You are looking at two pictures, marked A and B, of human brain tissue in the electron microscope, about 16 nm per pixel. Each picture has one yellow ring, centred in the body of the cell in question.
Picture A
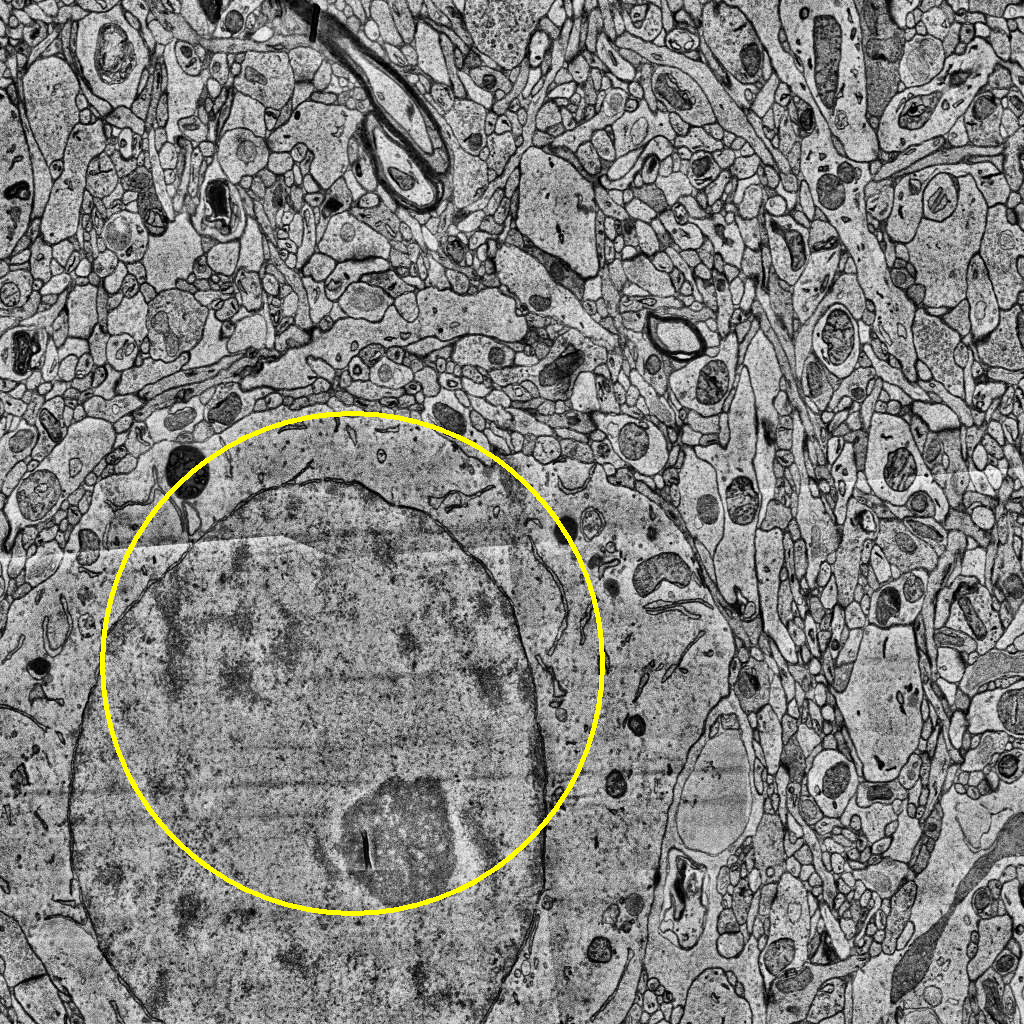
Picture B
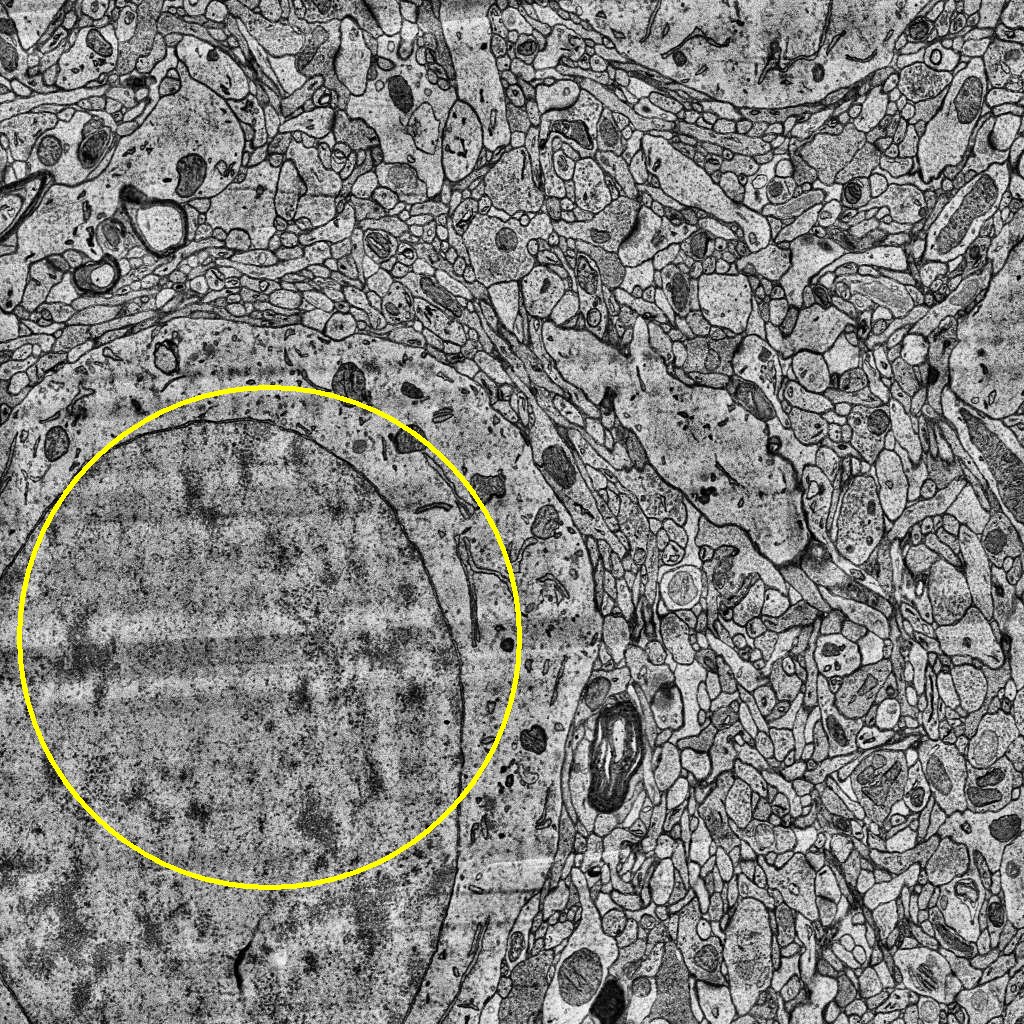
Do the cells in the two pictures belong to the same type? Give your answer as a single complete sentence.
Yes; the cells in both pictures are pyramidal neurons.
